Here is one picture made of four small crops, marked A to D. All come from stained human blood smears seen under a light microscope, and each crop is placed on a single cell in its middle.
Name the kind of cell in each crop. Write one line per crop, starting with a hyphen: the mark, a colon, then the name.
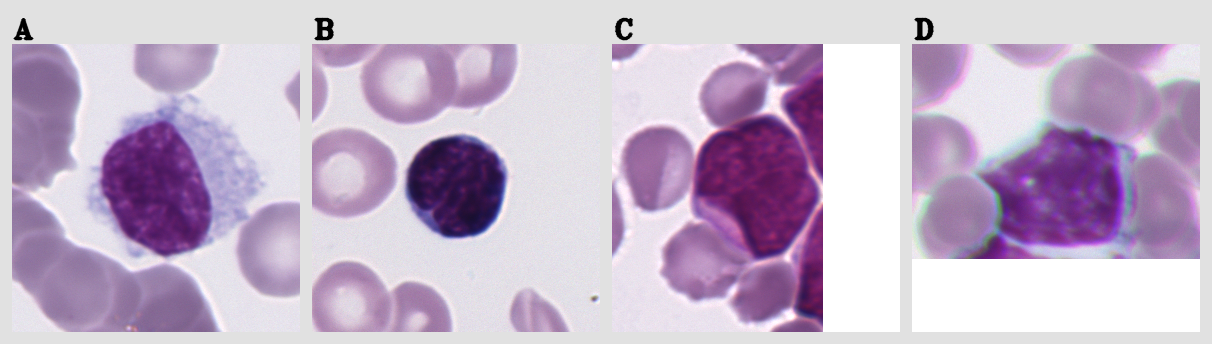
- A: hairy cell
- B: typical lymphocyte
- C: blast
- D: typical lymphocyte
